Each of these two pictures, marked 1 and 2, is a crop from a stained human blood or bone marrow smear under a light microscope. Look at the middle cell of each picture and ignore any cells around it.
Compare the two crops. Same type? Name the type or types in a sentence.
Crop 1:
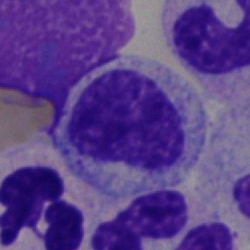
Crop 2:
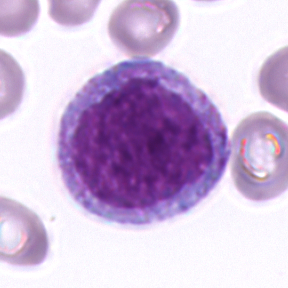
No, crop 2 holds a promyelocyte, while crop 1 holds a myelocyte.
